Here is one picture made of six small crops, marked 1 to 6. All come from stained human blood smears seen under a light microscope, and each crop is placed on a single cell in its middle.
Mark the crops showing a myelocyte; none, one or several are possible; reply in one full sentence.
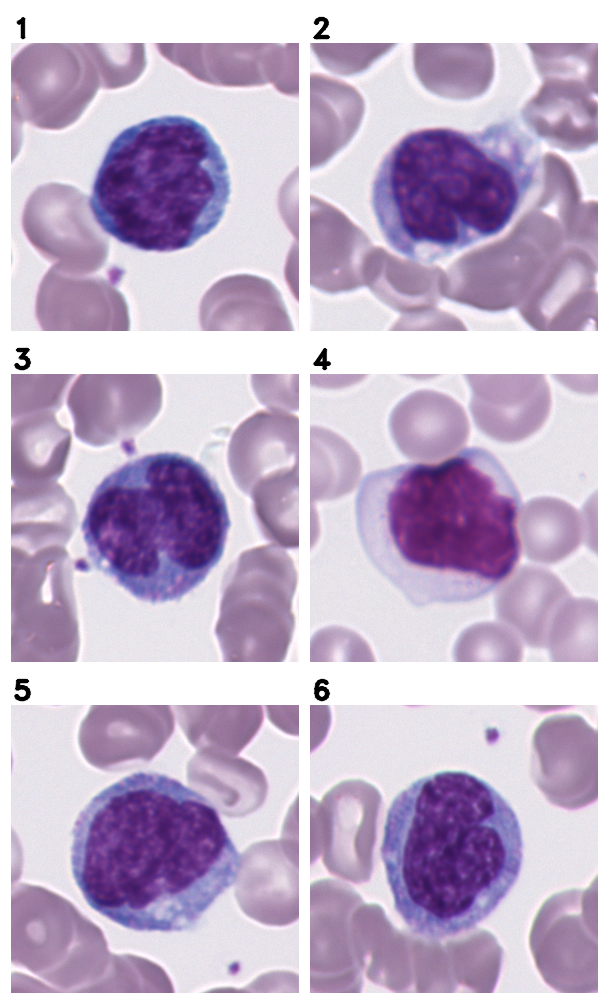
Among the crops, not a single one shows a myelocyte.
